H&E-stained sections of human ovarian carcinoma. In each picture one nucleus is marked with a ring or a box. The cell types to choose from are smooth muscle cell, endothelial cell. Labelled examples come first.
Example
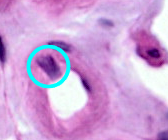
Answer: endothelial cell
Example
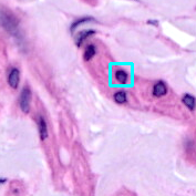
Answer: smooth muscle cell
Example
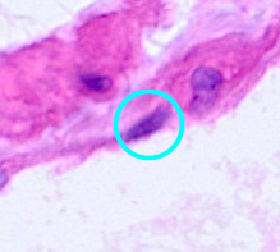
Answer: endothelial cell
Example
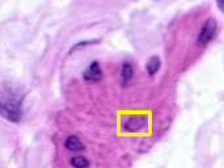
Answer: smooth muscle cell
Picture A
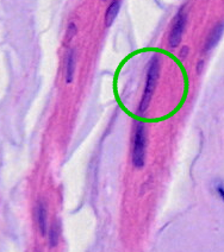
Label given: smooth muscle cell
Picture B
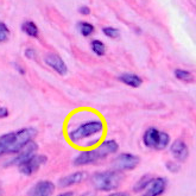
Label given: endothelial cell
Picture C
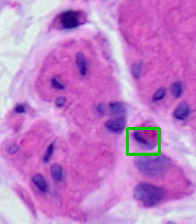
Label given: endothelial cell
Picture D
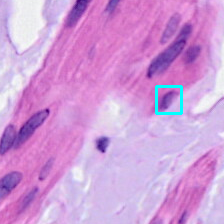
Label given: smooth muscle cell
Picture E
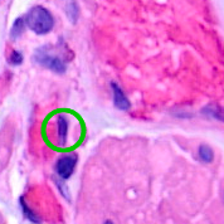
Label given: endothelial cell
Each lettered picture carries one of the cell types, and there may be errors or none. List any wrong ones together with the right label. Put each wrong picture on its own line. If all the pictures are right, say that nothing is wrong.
B should be smooth muscle cell, not endothelial cell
